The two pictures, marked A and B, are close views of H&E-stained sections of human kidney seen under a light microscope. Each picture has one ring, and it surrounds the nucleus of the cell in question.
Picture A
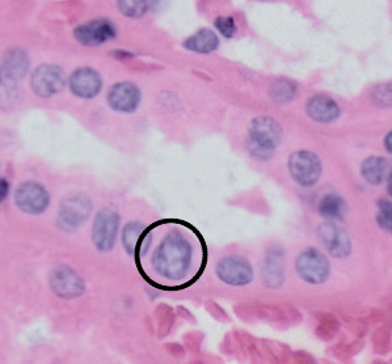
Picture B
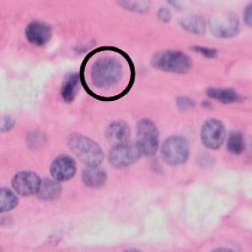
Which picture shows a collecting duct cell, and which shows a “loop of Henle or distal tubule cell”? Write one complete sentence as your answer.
Picture A is of a collecting duct cell, and picture B is of a “loop of Henle or distal tubule cell”.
